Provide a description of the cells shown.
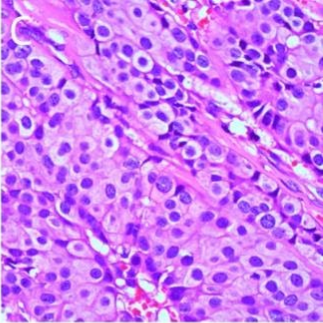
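Tumor cells arranged in solid nests separated by thin pink fibrous strands carrying small vessels with red blood cells. The cells are oval to polygonal with moderate to ample pink, finely granular cytoplasm and fairly distinct cell borders.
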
